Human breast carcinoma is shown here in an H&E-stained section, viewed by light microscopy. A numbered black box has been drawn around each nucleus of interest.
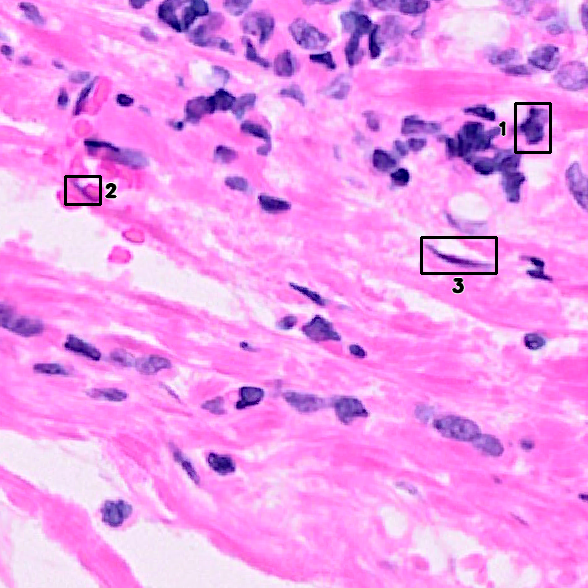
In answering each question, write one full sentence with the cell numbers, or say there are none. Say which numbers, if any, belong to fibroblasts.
Whereas cell 3 is a fibroblast, the other numbered cells are not.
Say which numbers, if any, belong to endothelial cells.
Only the nucleus marked 2 is that of an endothelial cell.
